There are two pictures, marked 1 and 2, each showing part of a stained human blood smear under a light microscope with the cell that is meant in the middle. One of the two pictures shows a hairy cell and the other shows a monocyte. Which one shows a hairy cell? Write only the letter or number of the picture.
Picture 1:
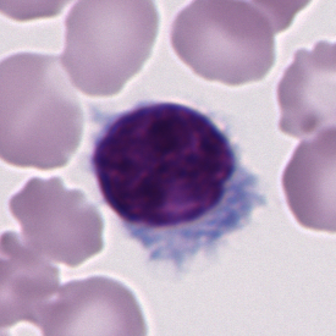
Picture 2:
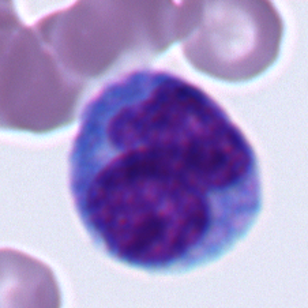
1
